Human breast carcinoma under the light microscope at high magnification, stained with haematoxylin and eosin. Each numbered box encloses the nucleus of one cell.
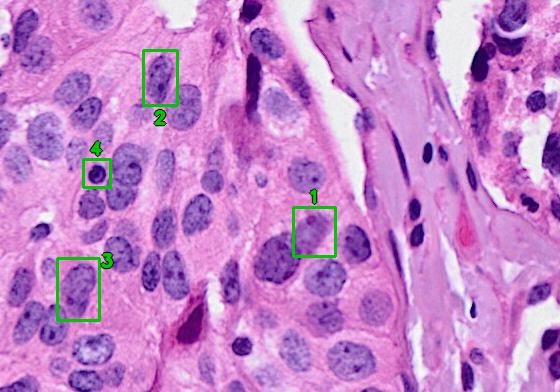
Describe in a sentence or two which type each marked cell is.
Cell 1 is a carcinoma cell, cell 2 is a carcinoma cell, cell 3 is a carcinoma cell and cell 4 is a lymphocyte.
